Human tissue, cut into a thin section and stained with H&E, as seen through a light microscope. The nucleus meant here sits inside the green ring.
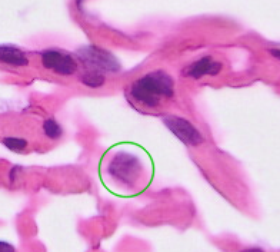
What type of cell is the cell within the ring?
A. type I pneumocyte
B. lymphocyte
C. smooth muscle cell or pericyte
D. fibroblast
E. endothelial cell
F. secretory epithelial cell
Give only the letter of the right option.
A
